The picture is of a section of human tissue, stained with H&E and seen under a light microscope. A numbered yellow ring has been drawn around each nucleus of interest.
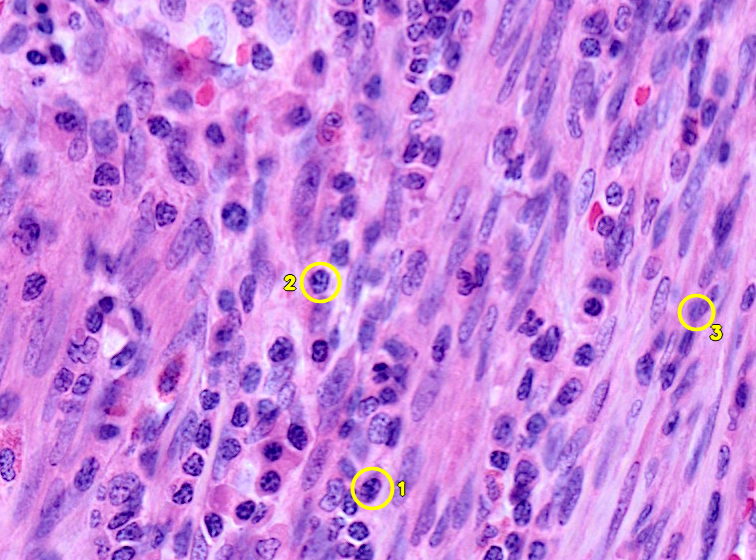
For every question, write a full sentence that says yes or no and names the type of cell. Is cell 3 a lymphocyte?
No, calling cell 3 a lymphocyte is incorrect; it is a smooth muscle cell.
